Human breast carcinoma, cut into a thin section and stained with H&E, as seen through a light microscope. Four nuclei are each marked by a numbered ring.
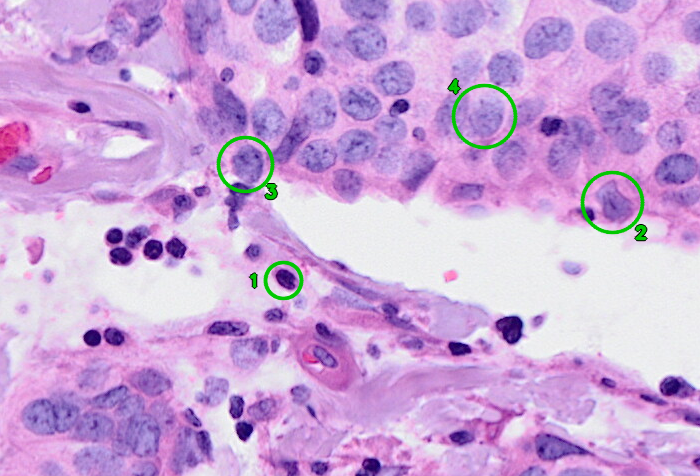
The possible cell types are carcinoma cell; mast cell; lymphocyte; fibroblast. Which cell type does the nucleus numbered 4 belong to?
carcinoma cell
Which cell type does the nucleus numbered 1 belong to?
lymphocyte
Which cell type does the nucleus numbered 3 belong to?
carcinoma cell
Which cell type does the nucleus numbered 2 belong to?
carcinoma cell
